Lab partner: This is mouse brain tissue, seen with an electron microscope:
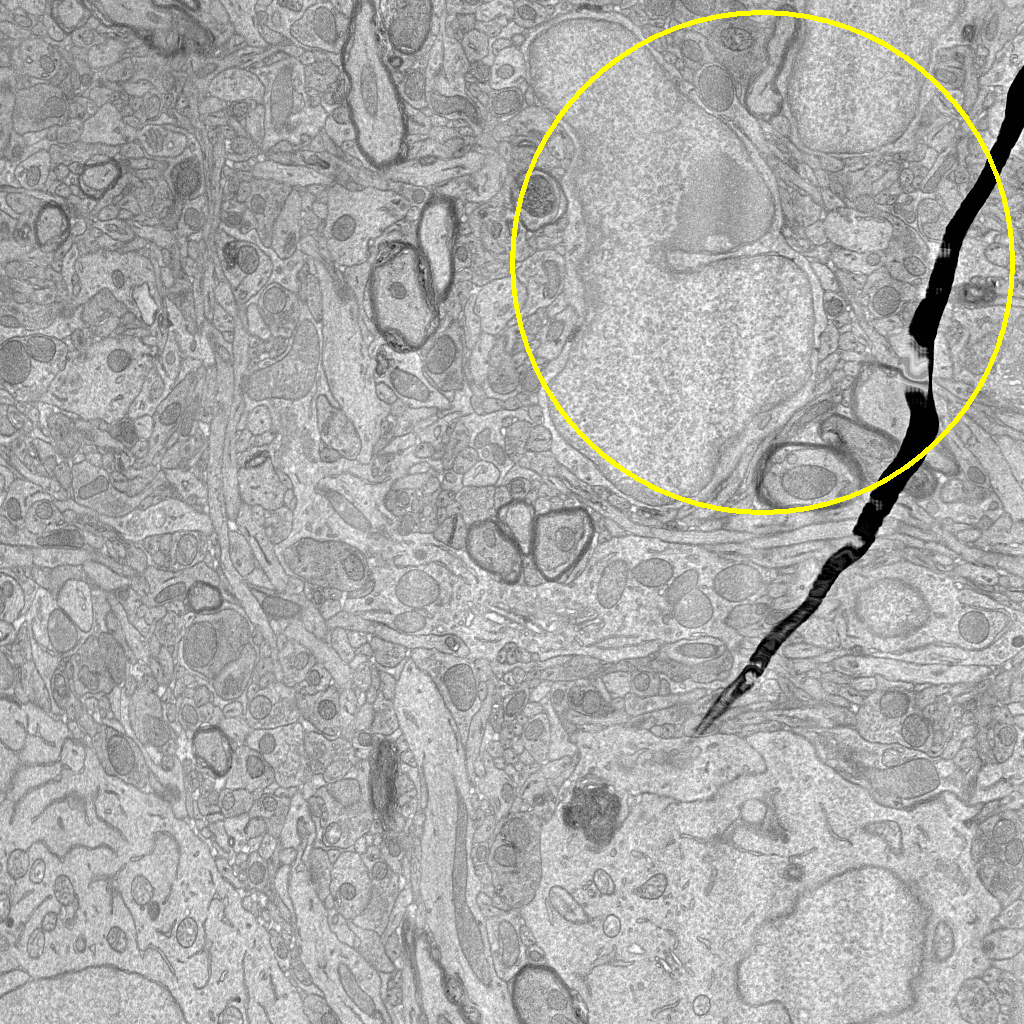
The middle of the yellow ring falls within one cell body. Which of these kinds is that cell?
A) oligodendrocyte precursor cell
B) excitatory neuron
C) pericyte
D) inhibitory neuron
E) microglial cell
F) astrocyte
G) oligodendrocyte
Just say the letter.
A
